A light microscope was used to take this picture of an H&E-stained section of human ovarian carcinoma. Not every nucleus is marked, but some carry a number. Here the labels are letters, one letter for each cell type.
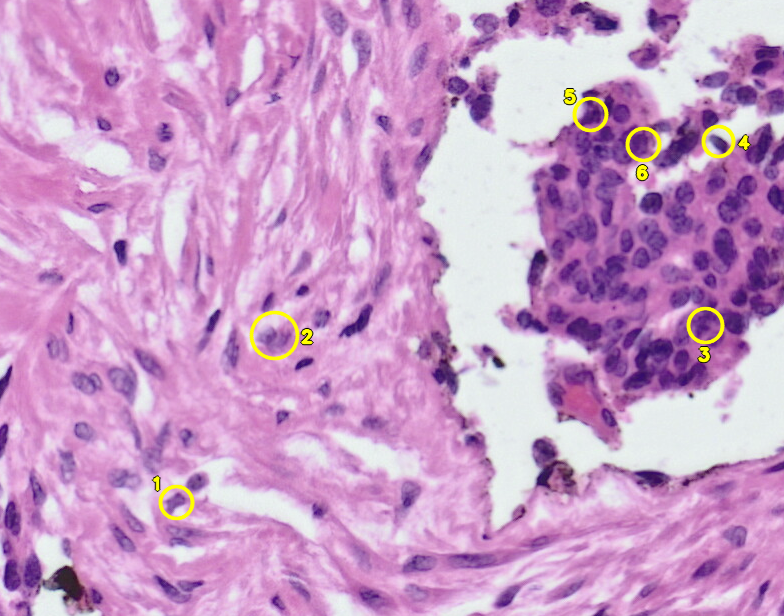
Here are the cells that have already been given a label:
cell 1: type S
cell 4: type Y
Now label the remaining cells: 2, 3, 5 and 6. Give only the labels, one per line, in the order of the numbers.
type S
type Y
type Y
type Y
